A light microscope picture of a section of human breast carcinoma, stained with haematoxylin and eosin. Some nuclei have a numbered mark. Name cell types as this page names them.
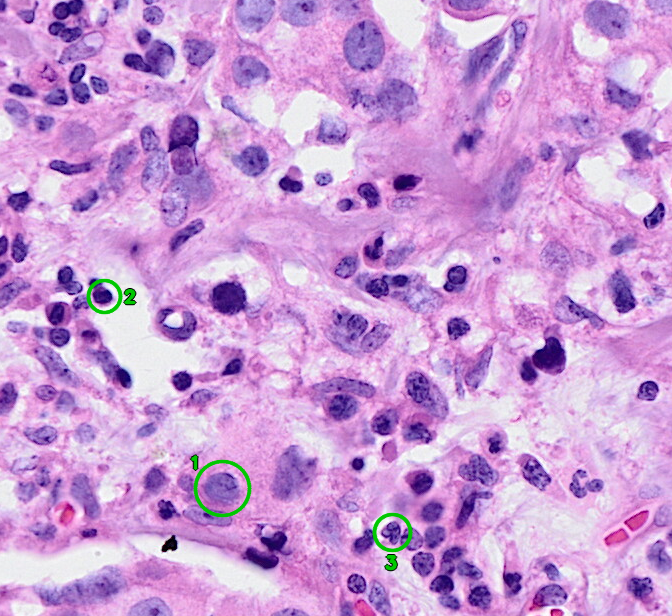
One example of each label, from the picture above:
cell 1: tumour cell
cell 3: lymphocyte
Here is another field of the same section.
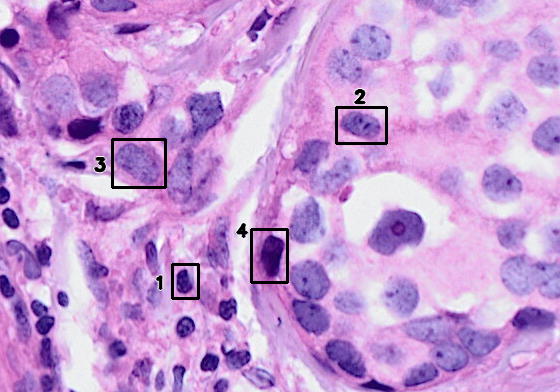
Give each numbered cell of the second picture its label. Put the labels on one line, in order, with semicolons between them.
lymphocyte; tumour cell; tumour cell; tumour cell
